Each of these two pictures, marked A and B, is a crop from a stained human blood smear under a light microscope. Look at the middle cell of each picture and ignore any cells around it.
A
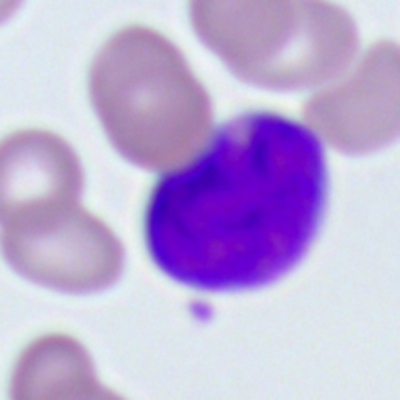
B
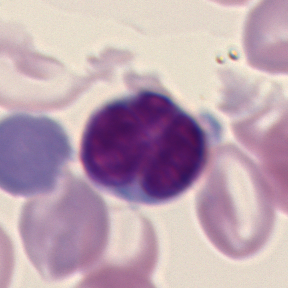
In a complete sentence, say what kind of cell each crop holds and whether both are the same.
No, the cells are a blast in crop A and a lymphocyte in crop B.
